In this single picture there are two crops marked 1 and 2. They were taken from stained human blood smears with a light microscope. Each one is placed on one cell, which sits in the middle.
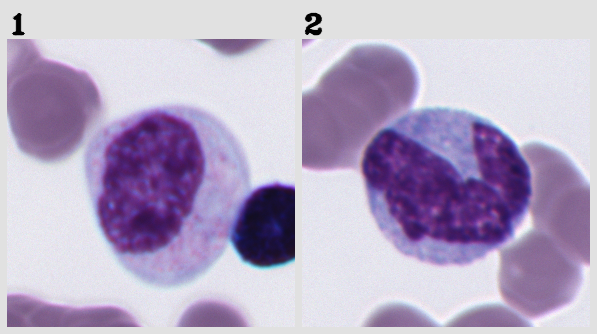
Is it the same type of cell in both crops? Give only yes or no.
no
